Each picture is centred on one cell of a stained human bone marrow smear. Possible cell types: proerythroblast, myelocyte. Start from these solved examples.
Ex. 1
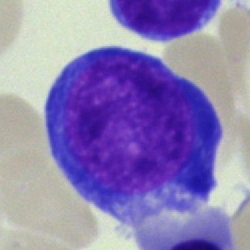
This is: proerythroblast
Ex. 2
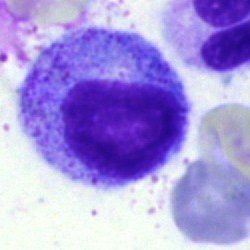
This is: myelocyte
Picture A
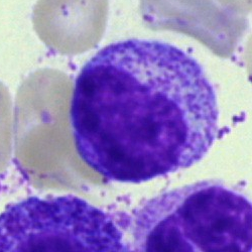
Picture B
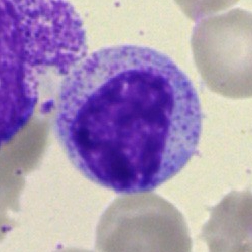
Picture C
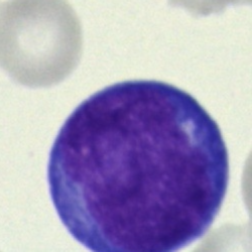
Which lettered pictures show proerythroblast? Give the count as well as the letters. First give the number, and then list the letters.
Count: 1 (C)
